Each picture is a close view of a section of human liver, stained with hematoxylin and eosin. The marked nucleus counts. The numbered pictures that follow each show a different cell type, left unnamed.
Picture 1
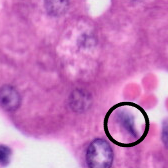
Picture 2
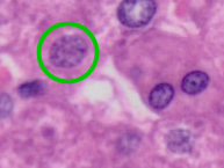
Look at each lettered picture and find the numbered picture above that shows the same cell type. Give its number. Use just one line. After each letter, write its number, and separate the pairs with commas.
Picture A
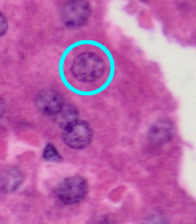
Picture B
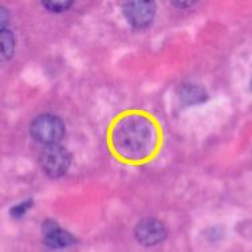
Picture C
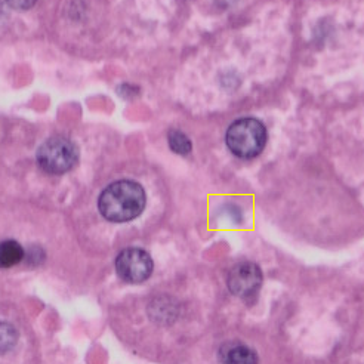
A 2, B 2, C 1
